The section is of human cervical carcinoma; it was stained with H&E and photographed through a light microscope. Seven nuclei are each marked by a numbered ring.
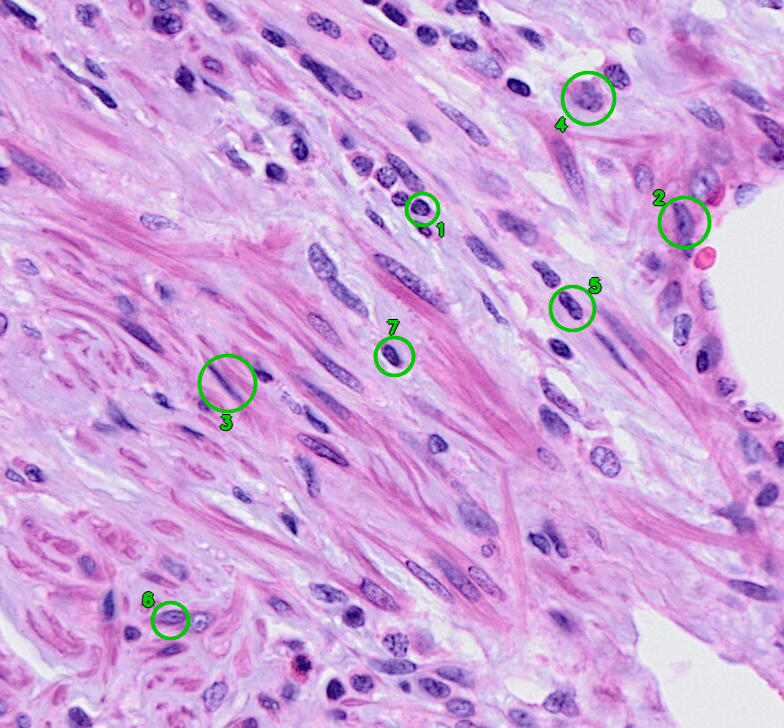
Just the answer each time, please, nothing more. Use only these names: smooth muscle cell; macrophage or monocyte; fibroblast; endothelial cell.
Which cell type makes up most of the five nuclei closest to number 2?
endothelial cell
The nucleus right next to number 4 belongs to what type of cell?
macrophage or monocyte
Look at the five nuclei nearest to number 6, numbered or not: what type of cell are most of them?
smooth muscle cell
